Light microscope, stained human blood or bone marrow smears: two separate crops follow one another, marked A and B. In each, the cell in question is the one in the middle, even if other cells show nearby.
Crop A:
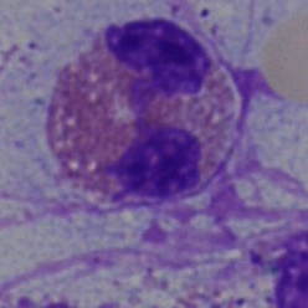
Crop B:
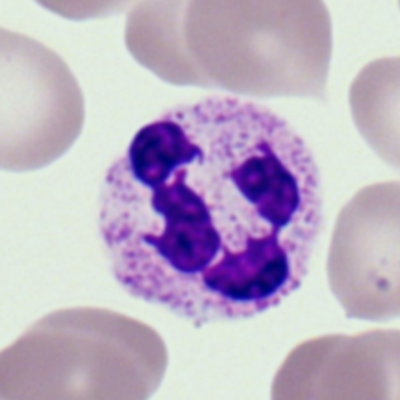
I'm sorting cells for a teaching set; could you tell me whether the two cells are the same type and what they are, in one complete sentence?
No, as for crop A, it shows an eosinophil, and crop B shows a segmented neutrophil.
